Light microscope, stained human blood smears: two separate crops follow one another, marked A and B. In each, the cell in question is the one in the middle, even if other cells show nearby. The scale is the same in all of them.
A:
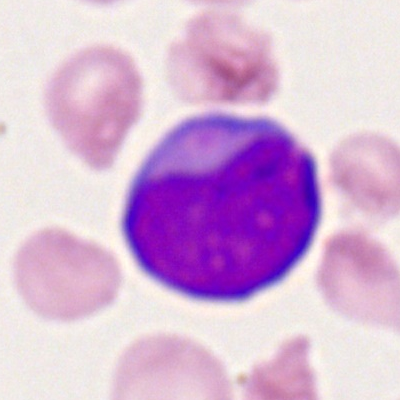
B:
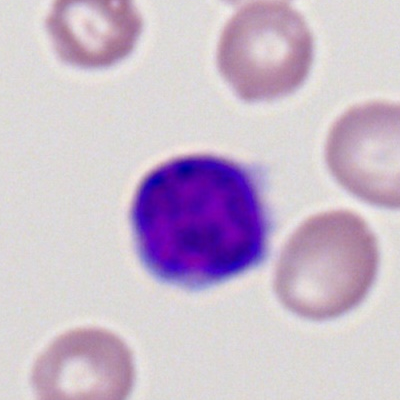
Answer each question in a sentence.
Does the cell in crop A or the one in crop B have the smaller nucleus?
The nucleus in crop B is smaller; the one in crop A has about 2 times its area.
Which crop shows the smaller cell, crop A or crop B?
It is the cell in crop B; the cell in crop A has about 2 times its area.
